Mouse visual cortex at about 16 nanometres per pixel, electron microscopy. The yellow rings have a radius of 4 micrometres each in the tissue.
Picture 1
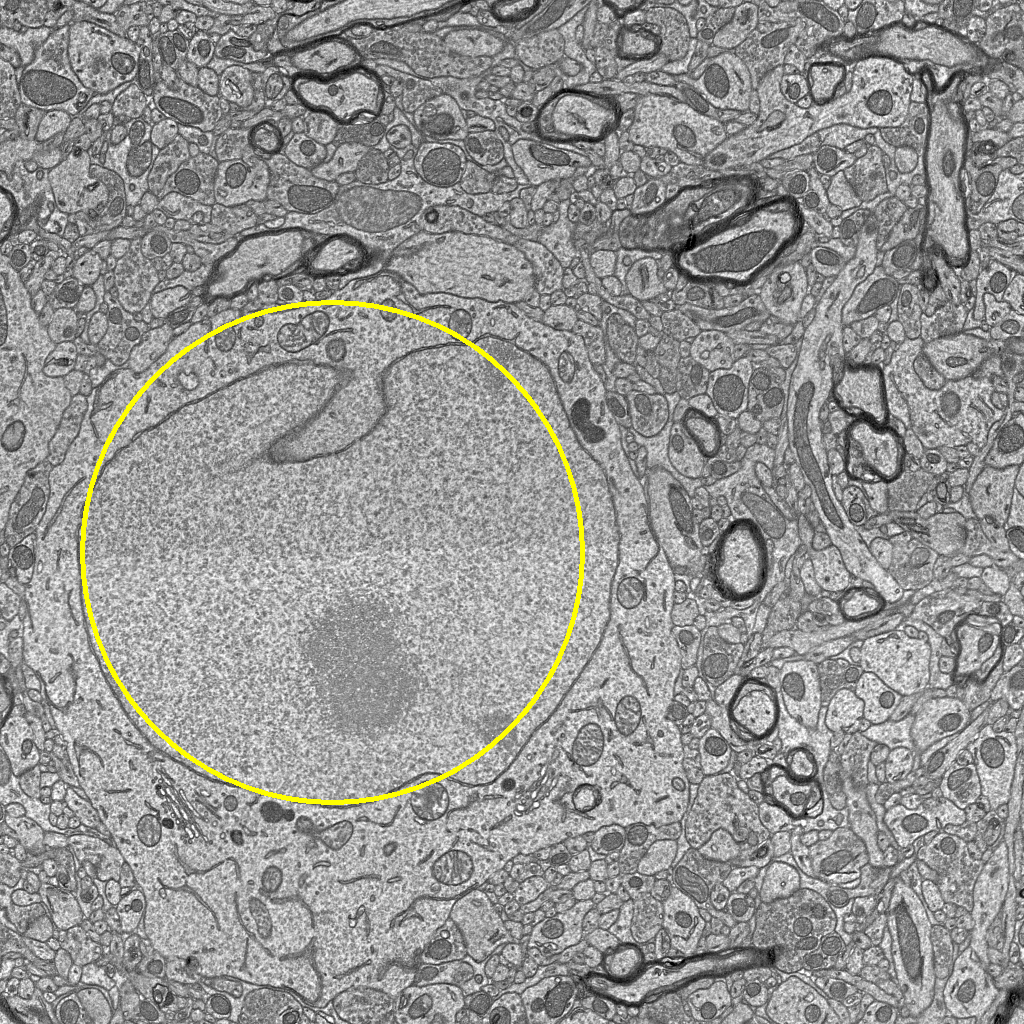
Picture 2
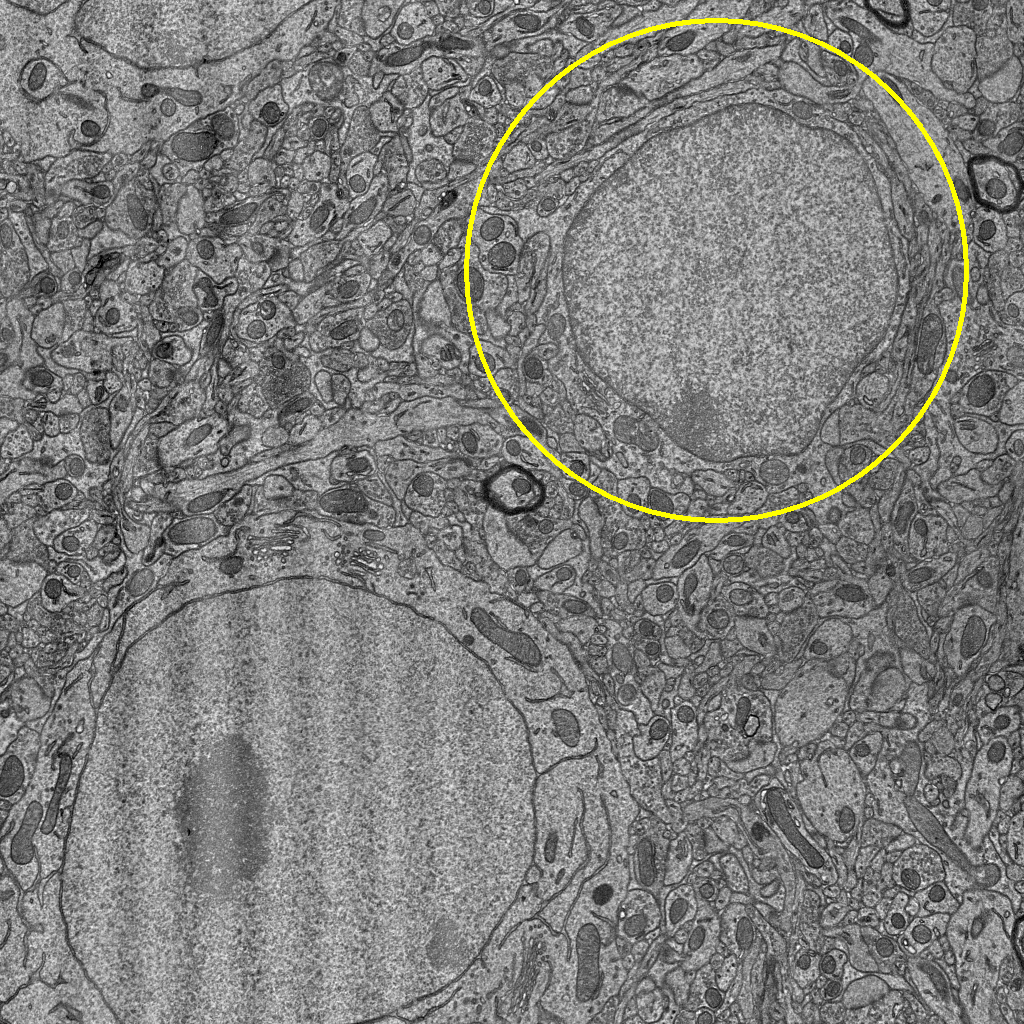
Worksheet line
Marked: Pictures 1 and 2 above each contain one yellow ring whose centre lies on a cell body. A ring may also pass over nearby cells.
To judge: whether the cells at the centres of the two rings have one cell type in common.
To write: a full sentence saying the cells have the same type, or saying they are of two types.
The cells at the centres of the rings in Picture 1 and Picture 2 are of two types.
